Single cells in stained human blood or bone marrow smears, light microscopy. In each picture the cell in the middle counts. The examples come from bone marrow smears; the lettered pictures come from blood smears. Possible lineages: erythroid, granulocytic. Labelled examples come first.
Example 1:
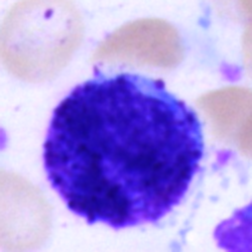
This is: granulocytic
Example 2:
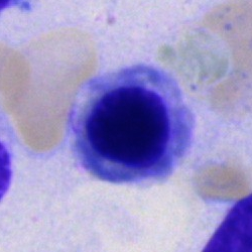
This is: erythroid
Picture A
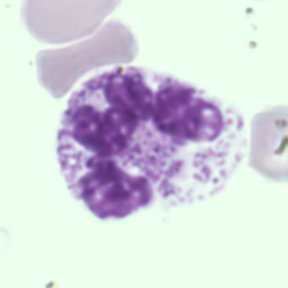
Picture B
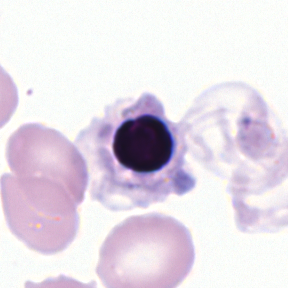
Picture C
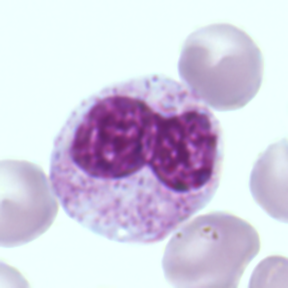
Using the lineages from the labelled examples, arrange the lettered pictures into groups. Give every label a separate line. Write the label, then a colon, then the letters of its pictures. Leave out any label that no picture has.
erythroid: B
granulocytic: A, C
